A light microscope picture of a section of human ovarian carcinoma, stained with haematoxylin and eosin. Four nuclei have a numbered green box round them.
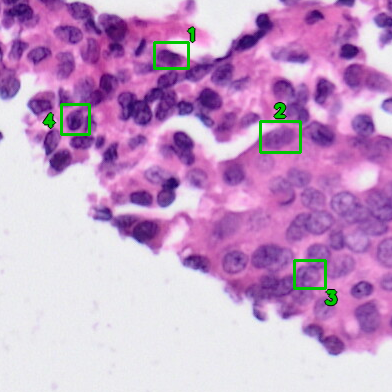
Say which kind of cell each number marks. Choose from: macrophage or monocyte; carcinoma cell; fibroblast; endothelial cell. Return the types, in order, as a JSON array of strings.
["carcinoma cell", "carcinoma cell", "carcinoma cell", "macrophage or monocyte"]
